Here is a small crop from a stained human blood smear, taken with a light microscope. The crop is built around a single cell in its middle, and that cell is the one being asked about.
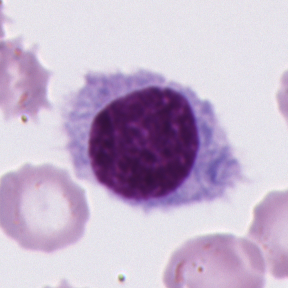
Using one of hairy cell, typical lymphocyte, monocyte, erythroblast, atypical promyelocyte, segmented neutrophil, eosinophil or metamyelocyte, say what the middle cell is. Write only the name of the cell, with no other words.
hairy cell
